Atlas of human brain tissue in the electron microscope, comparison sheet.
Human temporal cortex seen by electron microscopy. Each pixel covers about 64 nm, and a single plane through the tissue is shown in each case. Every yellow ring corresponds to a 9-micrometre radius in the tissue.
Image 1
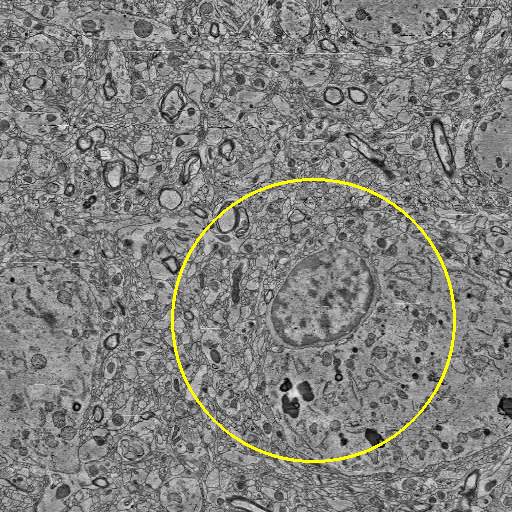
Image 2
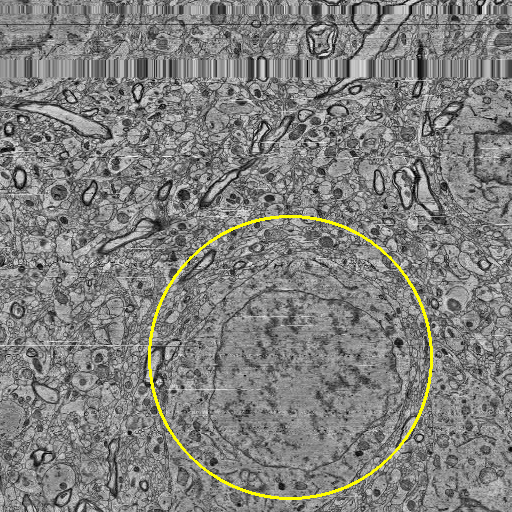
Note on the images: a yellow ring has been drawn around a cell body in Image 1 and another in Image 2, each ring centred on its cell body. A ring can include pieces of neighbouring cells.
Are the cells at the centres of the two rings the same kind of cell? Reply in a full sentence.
No, the two cells are of two kinds.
